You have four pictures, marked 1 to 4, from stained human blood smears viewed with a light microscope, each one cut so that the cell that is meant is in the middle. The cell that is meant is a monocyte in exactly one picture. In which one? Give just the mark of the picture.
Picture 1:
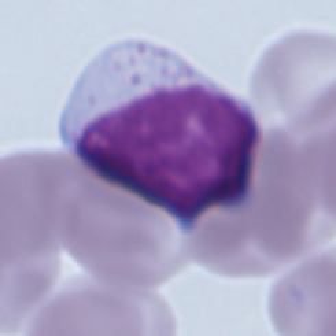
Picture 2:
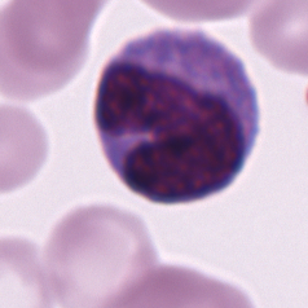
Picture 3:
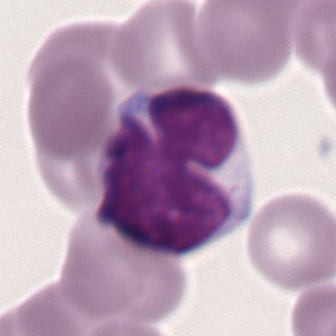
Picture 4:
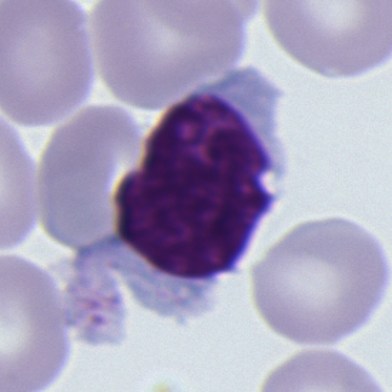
2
